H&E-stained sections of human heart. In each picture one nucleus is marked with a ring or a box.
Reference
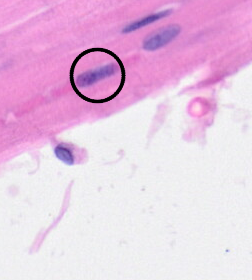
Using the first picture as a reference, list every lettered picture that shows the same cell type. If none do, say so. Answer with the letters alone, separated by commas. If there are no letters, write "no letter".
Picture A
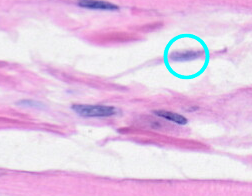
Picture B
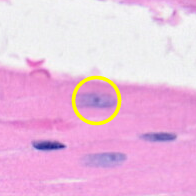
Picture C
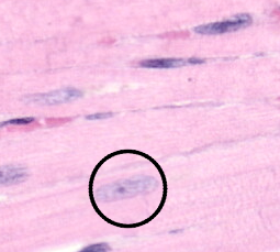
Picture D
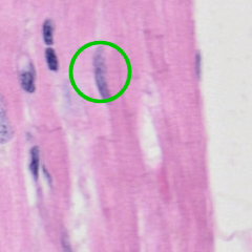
D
